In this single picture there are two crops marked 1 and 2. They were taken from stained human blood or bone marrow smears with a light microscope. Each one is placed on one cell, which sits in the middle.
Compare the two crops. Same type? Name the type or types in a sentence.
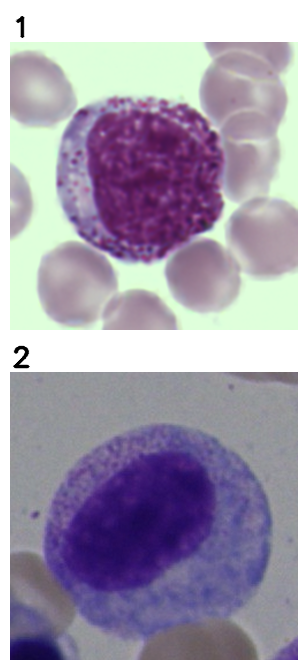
No, enter a myelocyte for crop 1 and a metamyelocyte for crop 2.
